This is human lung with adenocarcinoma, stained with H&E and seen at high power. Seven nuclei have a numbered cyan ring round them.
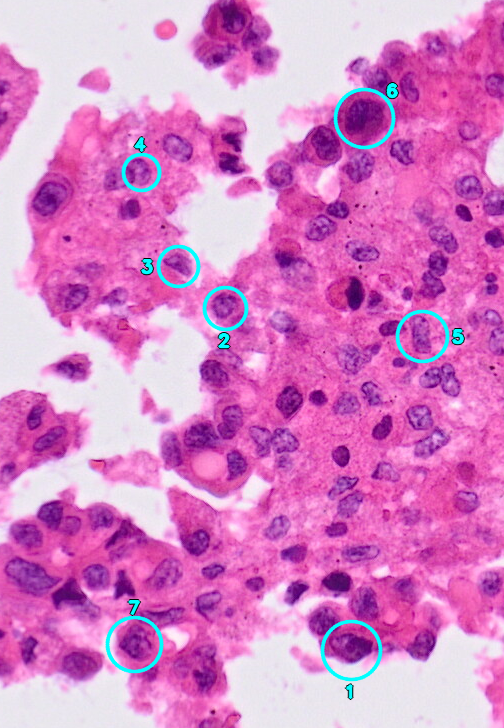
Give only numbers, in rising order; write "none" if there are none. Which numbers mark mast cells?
none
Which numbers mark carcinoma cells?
1, 6, 7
